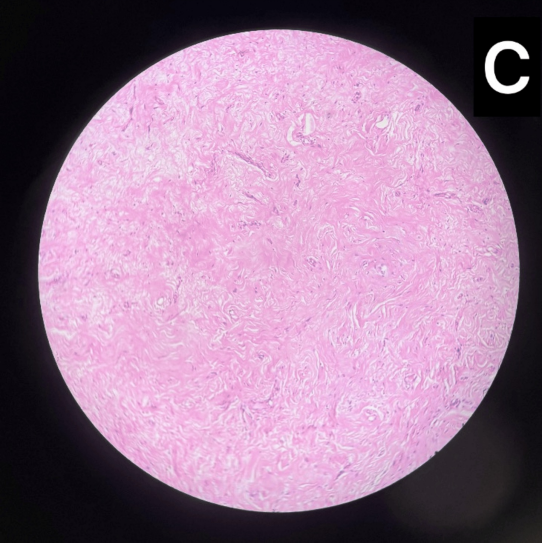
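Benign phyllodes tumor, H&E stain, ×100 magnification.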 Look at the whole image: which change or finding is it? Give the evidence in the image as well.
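Stromal hyalinization. Field of dense, glassy pink collagen.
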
